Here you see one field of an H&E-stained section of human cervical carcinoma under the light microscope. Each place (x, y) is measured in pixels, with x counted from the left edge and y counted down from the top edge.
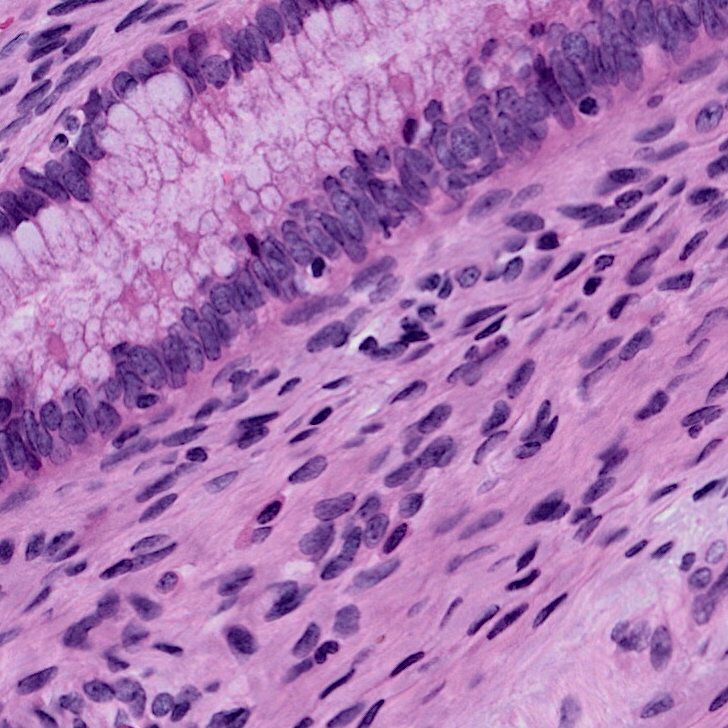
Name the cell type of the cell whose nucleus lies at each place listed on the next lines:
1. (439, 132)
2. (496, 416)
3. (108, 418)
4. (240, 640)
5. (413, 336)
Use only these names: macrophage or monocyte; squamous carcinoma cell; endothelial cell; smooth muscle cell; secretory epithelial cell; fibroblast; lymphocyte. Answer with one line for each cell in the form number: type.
1: secretory epithelial cell
2: fibroblast
3: secretory epithelial cell
4: fibroblast
5: lymphocyte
